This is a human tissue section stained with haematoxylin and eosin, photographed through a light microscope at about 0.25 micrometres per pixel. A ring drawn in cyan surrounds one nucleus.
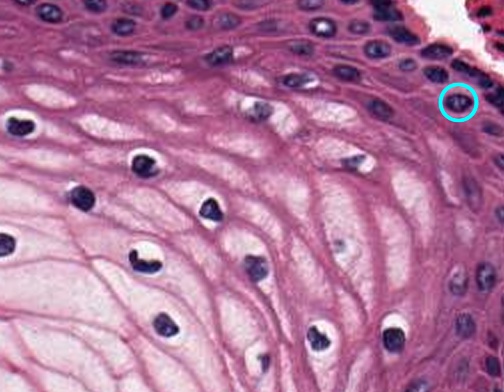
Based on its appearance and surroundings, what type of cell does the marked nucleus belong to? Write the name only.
squamous epithelial cell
